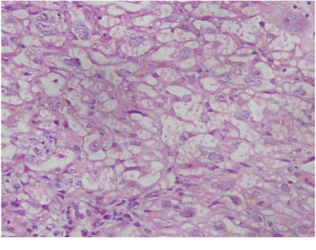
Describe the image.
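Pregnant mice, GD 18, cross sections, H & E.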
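A loose meshwork of pink-staining cell strands with purple nuclei surrounds numerous irregular, clear spaces of varying size. The pattern of thin cellular partitions between open channels fits the labyrinthine layer of the placenta with its blood sinusoids.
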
